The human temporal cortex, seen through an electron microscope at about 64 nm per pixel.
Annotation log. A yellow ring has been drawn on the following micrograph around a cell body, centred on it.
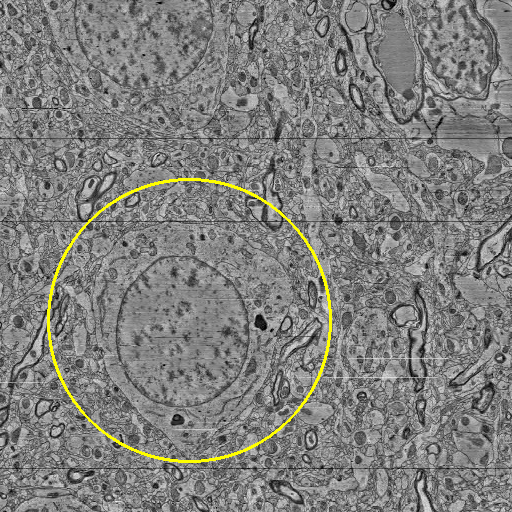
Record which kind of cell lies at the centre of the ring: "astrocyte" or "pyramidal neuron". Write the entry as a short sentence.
The cell the ring is centred on is a pyramidal neuron.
